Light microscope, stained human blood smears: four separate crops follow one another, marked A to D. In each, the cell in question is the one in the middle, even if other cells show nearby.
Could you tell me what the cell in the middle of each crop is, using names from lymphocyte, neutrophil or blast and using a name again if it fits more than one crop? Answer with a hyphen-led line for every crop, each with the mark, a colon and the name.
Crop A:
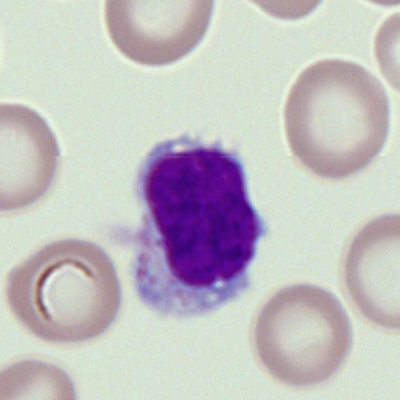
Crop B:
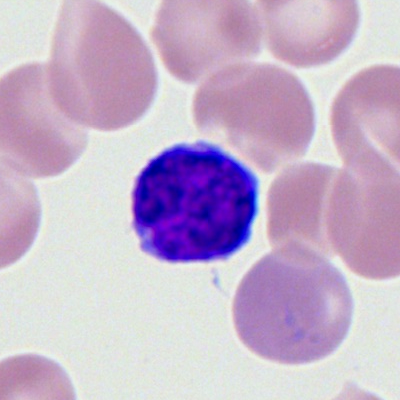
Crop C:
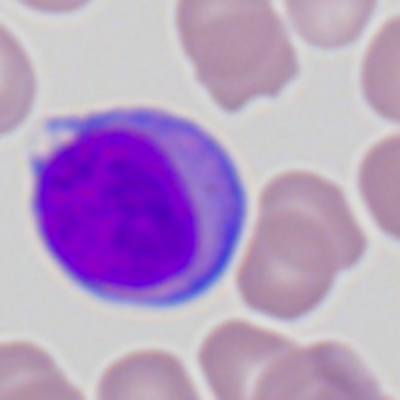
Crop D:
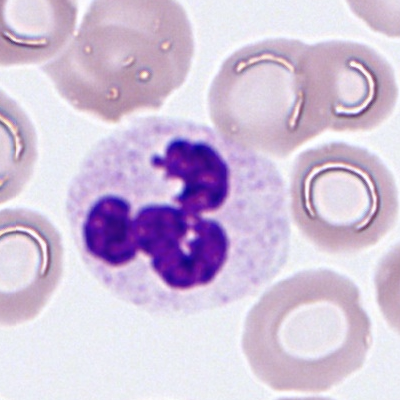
- A: lymphocyte
- B: lymphocyte
- C: blast
- D: neutrophil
